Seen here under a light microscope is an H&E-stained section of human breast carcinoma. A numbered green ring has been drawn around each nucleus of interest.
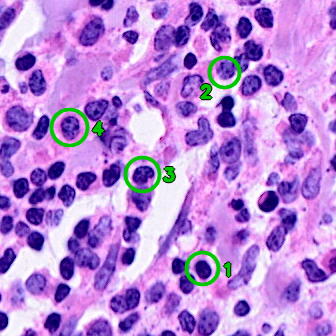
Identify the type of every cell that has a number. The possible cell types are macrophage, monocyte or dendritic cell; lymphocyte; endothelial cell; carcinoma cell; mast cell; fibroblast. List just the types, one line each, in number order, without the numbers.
lymphocyte
lymphocyte
lymphocyte
mast cell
